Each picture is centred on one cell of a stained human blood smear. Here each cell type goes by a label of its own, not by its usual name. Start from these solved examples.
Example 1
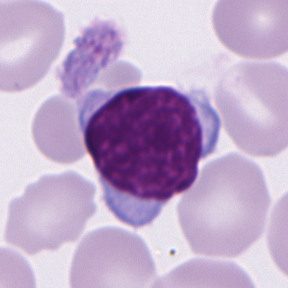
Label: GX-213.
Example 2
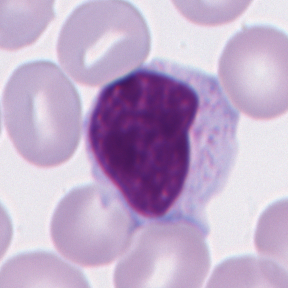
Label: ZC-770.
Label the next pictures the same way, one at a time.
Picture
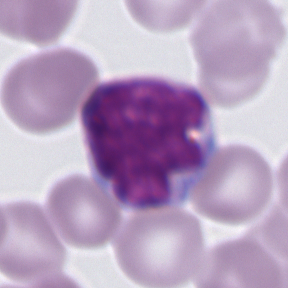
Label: ZC-770.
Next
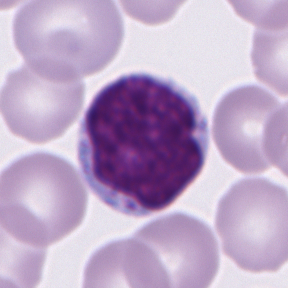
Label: GX-213.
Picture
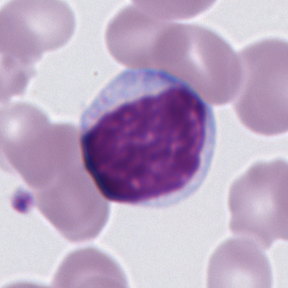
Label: ZC-770.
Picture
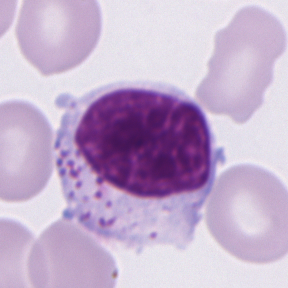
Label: ZC-770.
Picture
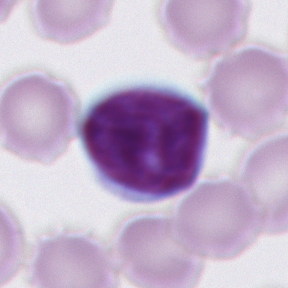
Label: GX-213.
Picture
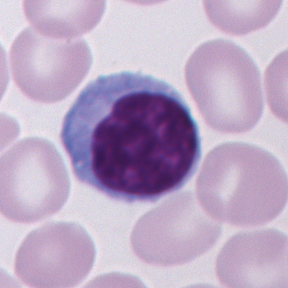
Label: GX-213.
